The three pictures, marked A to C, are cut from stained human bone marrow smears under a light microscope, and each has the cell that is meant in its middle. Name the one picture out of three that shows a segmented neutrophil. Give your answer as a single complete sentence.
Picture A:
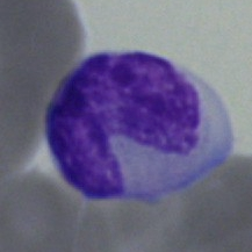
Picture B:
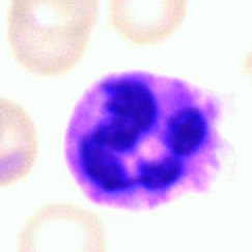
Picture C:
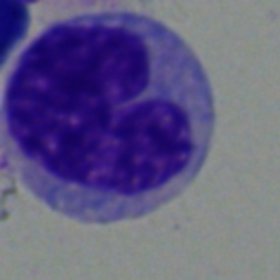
The cell in picture B is the segmented neutrophil.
